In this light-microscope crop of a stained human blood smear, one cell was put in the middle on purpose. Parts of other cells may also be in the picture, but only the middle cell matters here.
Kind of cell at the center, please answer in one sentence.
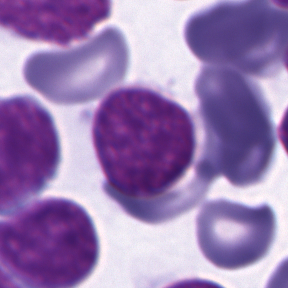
To answer, the cell in the center of the crop is a myeloblast.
